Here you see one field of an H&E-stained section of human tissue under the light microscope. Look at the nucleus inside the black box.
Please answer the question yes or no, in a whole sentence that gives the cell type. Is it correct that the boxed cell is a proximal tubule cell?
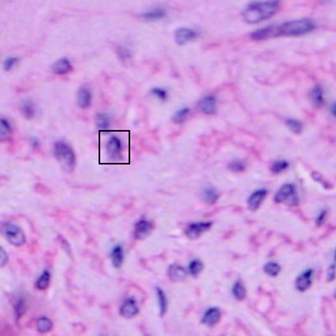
No, the boxed cell is a smooth muscle cell; it is not a proximal tubule cell.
